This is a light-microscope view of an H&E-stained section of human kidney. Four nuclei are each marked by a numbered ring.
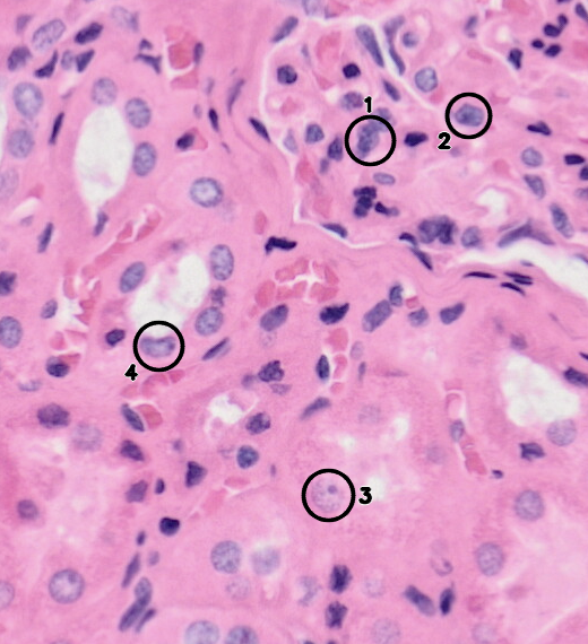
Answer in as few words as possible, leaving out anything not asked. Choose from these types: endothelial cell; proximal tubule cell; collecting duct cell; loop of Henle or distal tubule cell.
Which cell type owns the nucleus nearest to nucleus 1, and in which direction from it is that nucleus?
an endothelial cell above and to the right of nucleus 1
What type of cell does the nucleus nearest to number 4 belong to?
loop of Henle or distal tubule cell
